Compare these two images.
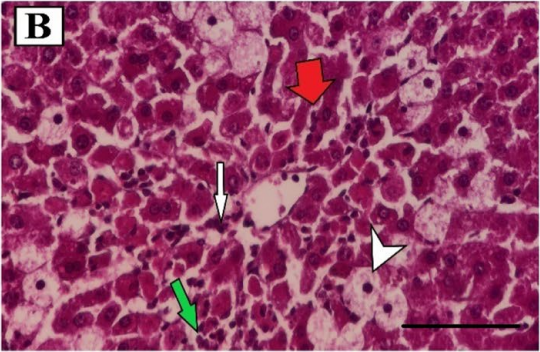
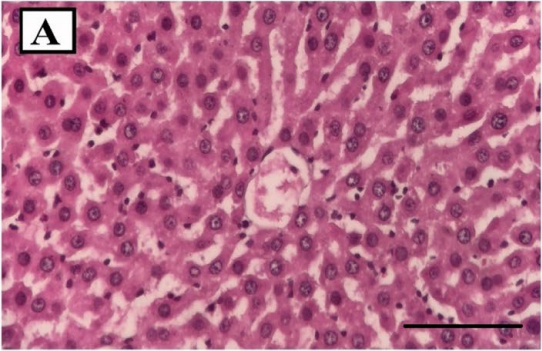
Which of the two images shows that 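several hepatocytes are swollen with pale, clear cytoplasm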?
The first image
